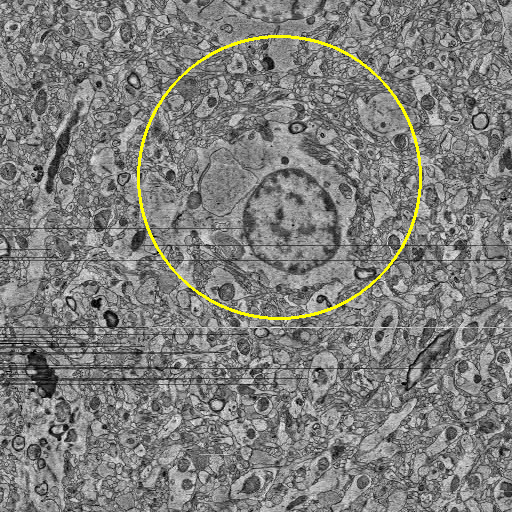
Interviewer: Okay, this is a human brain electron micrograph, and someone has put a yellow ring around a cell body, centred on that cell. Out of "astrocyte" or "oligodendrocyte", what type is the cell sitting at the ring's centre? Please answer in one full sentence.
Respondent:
The cell at the centre of the yellow ring in this picture is an astrocyte.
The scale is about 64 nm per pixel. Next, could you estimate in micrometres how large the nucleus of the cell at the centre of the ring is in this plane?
The nucleus appears about 6 micrometres across in this plane.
